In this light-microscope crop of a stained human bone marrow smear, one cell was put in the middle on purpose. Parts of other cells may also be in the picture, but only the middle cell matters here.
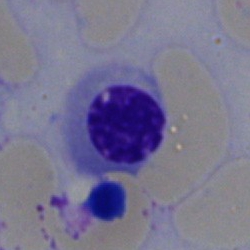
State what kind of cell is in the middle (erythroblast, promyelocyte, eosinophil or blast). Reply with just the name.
erythroblast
